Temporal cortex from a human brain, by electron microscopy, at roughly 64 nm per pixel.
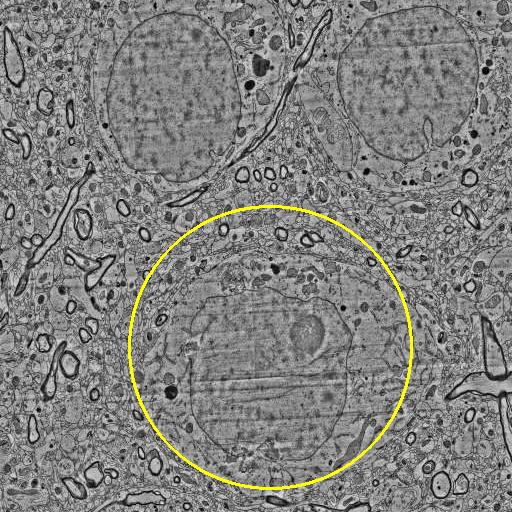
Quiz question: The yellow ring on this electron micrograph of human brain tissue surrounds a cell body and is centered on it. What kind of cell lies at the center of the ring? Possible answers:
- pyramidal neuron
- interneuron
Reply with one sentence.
The ring's center lies on a pyramidal neuron.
